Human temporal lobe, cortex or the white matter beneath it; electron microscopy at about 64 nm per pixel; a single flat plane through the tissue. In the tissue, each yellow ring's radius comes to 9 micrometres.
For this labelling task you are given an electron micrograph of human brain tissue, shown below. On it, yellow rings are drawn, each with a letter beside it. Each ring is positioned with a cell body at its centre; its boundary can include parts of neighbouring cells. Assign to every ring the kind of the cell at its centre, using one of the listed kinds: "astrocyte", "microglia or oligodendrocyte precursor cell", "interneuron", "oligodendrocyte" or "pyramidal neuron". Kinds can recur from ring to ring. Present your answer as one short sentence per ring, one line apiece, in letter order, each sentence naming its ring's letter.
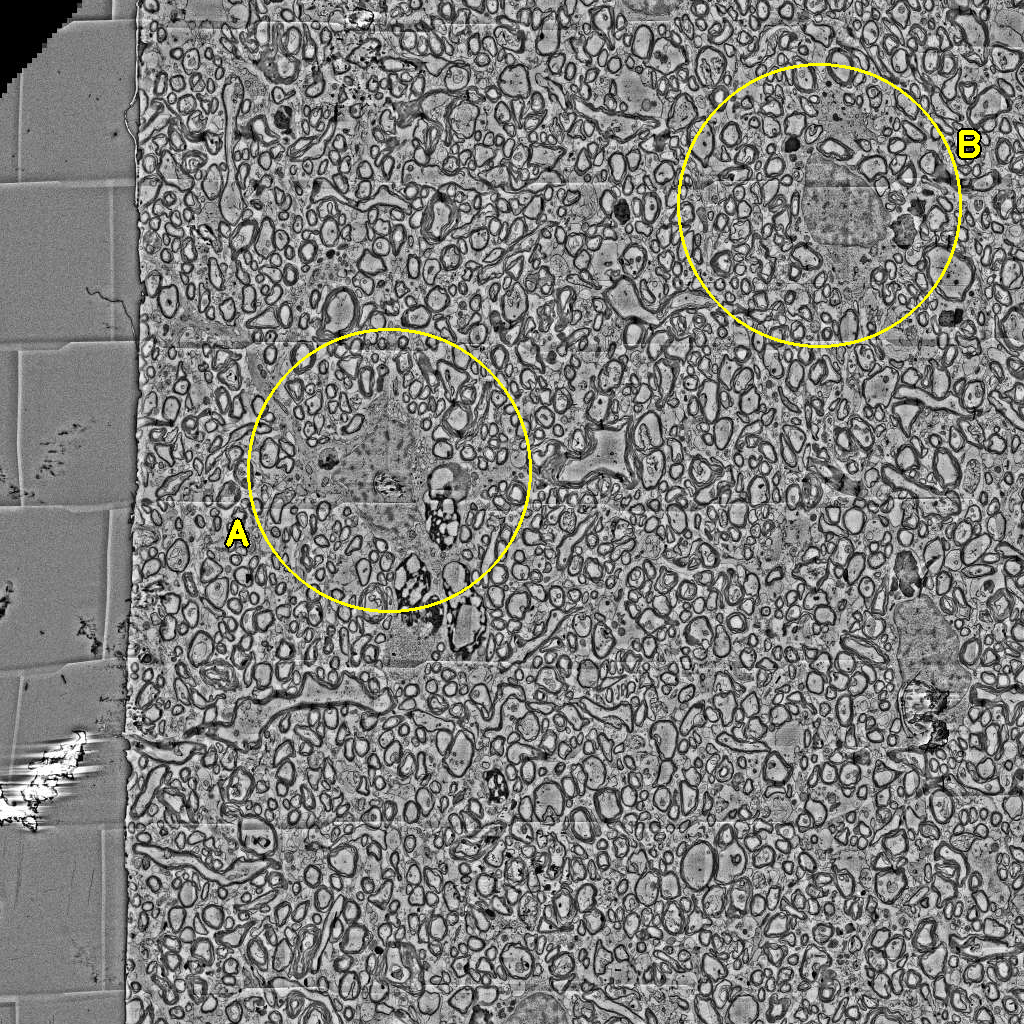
The cell in the middle of ring A is an astrocyte.
The cell in the middle of ring B is an oligodendrocyte.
